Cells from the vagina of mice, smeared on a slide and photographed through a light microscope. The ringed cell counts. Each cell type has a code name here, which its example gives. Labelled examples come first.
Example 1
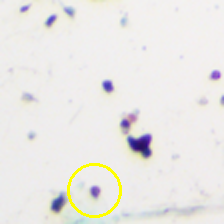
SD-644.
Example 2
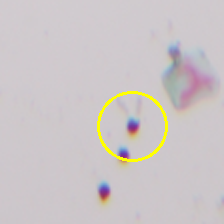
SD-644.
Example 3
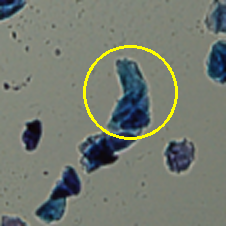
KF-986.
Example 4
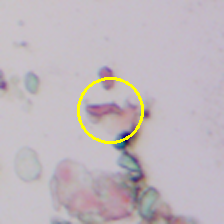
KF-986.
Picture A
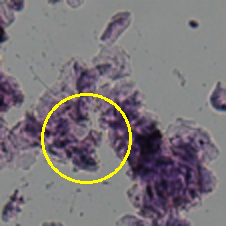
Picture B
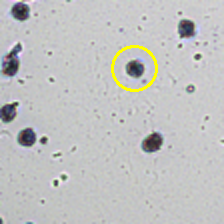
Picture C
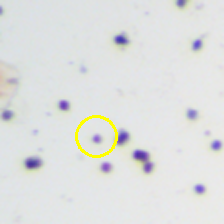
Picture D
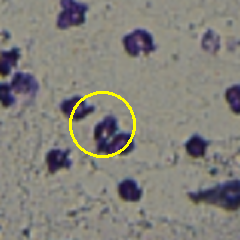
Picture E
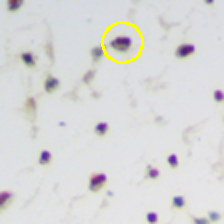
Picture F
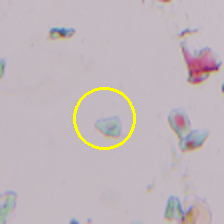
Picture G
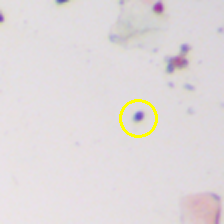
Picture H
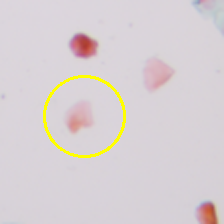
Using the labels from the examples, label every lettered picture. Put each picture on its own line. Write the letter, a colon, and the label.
A: KF-986.
B: SD-644.
C: SD-644.
D: SD-644.
E: SD-644.
F: KF-986.
G: SD-644.
H: KF-986.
